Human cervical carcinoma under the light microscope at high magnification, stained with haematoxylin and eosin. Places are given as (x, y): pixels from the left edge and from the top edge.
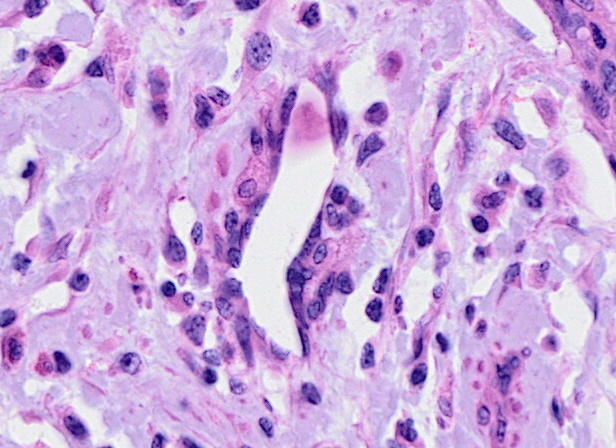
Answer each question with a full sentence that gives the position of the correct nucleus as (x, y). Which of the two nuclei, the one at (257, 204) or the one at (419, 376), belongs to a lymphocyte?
The nucleus found at (419, 376) belongs to a lymphocyte.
